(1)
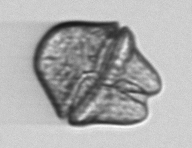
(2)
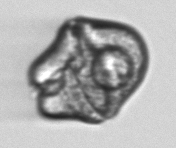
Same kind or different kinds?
Same: Akashiwo.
